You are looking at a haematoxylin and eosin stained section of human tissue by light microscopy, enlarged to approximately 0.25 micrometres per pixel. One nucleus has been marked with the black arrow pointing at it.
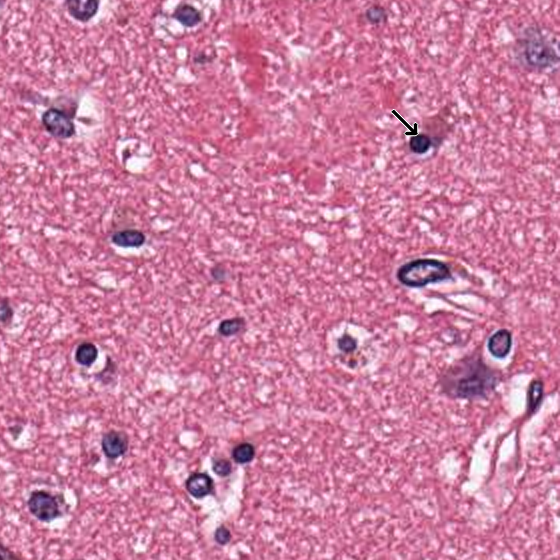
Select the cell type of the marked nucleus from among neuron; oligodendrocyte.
oligodendrocyte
